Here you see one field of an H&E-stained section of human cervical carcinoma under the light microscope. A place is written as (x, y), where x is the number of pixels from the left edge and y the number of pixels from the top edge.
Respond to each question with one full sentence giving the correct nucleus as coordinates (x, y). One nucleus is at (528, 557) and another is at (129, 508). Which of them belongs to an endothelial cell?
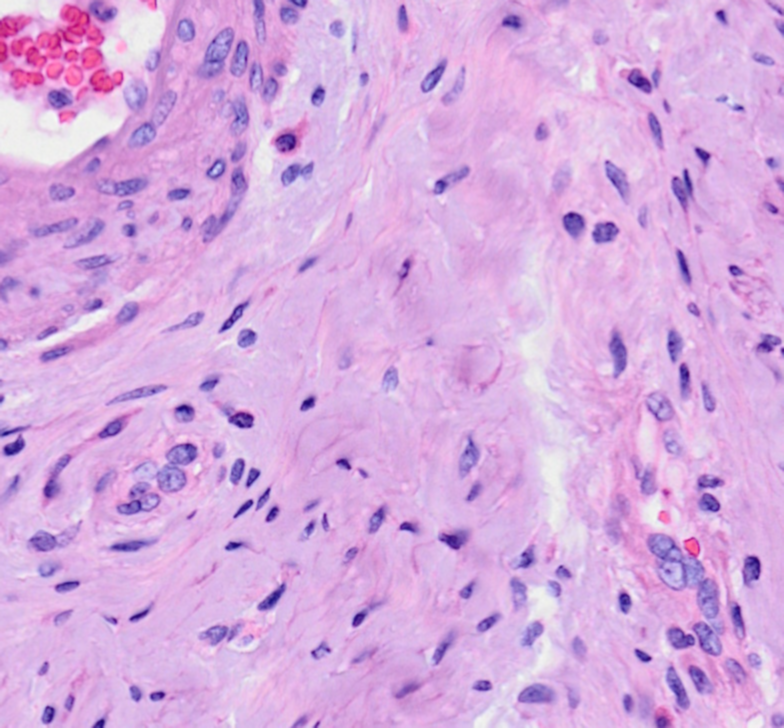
The nucleus whose position is (129, 508) belongs to an endothelial cell.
